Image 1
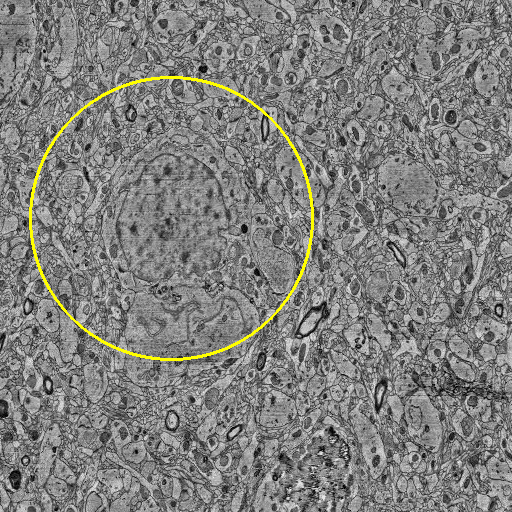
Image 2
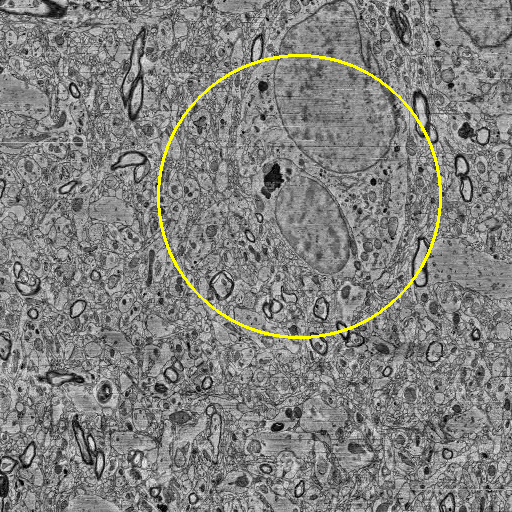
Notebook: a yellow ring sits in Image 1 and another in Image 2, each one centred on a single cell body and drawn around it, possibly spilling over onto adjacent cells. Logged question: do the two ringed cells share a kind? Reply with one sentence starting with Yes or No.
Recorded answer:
No, the centre cells inside the rings of Image 1 and Image 2 are of two kinds.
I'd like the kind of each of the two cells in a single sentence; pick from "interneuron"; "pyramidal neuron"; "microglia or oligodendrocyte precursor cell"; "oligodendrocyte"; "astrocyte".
The first ring marks an interneuron, and the second ring marks an oligodendrocyte.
